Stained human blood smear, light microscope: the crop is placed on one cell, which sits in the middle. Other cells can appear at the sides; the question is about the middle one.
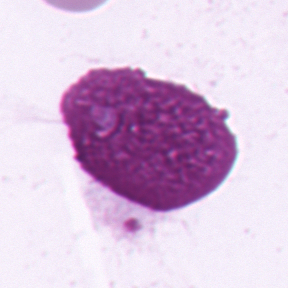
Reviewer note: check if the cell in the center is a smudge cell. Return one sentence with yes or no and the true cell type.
Yes, the cell that is in the middle is a smudge cell.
